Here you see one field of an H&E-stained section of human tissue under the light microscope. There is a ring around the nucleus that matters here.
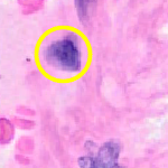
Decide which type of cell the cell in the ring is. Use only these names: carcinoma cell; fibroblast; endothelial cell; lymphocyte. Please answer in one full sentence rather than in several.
By its classification, the cell in the ring is an endothelial cell.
